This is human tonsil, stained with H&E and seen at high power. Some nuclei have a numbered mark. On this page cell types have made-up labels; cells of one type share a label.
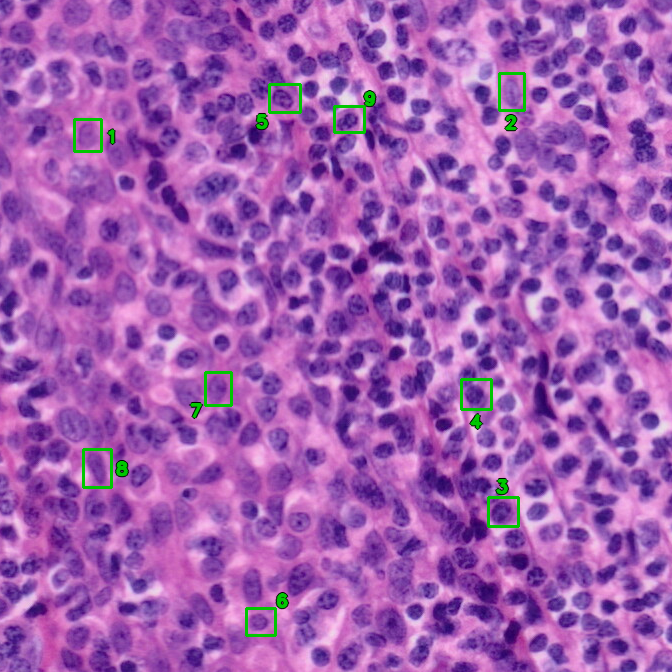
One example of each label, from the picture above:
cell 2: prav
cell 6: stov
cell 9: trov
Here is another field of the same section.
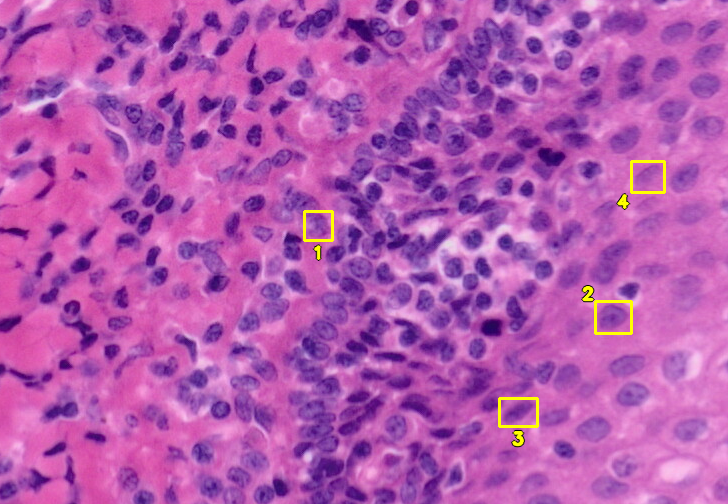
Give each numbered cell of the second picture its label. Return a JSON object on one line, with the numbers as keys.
{"1": "prav", "2": "stov", "3": "stov", "4": "stov"}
